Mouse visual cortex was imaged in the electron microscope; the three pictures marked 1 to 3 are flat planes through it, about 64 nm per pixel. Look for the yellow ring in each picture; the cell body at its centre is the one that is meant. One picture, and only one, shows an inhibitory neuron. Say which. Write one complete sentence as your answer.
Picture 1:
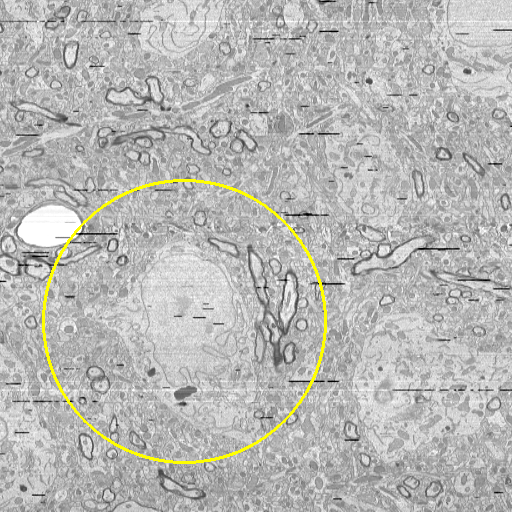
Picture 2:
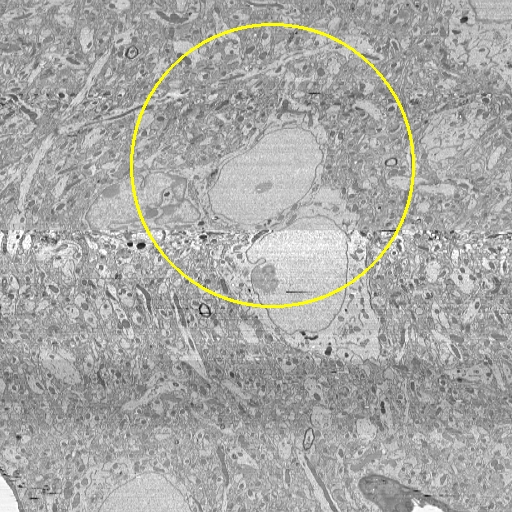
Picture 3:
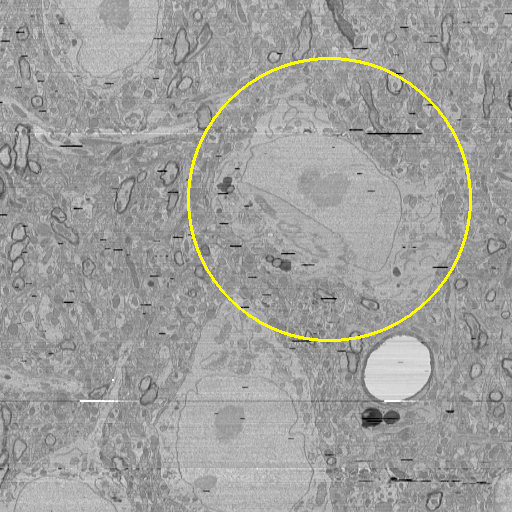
The picture with the inhibitory neuron is 1.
